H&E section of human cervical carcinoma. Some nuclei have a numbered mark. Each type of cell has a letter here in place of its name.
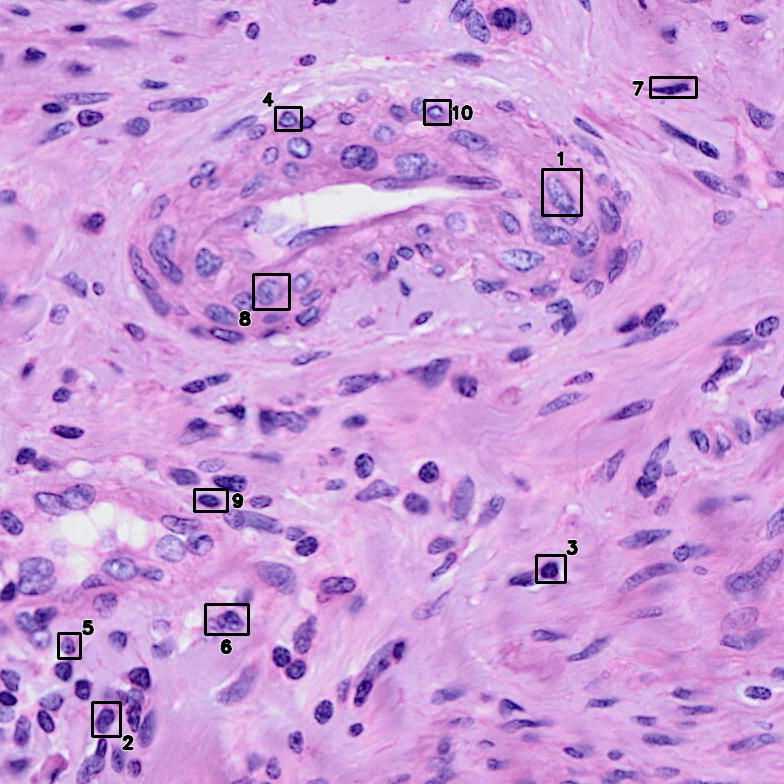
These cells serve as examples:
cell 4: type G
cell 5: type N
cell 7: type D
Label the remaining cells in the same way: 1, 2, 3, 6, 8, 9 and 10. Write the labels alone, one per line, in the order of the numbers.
type G
type N
type N
type N
type G
type N
type G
